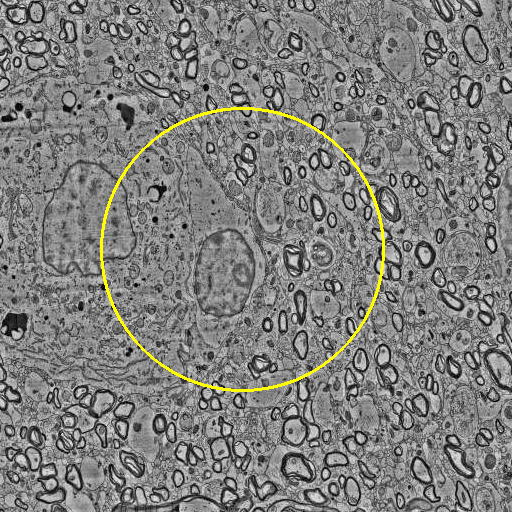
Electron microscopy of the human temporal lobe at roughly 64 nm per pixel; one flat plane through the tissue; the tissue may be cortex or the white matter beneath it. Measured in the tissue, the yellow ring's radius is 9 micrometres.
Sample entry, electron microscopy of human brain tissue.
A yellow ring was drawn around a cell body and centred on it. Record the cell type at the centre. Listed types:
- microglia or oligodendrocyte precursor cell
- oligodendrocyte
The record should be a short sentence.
The cell at the ring's centre is a microglial cell or oligodendrocyte precursor cell.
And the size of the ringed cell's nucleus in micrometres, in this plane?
The nucleus comes to roughly 6 by 4 micrometres in this plane.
